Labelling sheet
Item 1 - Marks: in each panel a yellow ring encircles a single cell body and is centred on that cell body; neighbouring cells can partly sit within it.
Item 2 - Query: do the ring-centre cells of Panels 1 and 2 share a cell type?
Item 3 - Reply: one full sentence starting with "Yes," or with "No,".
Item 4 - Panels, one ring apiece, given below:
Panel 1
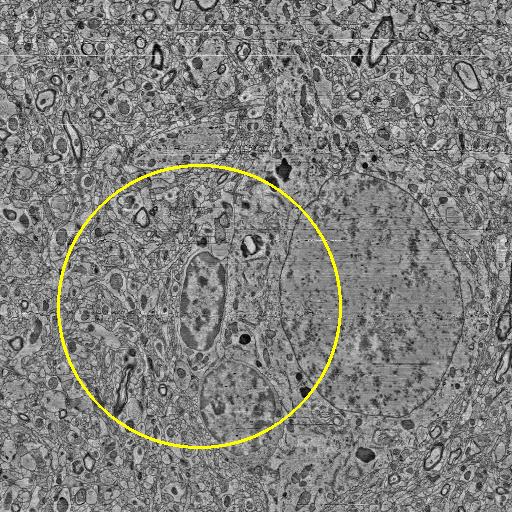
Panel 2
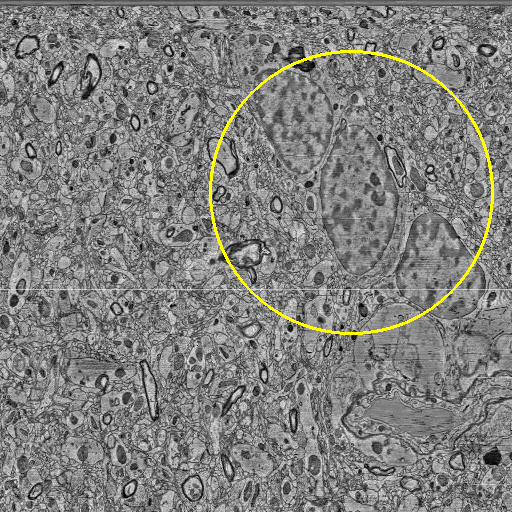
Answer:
No, Panel 1 and Panel 2 show two cell types at the centres of their rings.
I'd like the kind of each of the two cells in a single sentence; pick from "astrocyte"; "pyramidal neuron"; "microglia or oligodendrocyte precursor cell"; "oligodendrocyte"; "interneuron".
The first ring marks a microglial cell or oligodendrocyte precursor cell, and the second ring marks an oligodendrocyte.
